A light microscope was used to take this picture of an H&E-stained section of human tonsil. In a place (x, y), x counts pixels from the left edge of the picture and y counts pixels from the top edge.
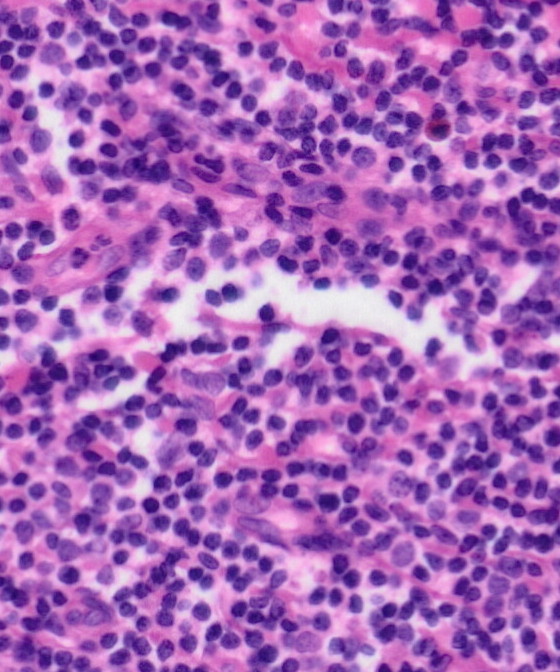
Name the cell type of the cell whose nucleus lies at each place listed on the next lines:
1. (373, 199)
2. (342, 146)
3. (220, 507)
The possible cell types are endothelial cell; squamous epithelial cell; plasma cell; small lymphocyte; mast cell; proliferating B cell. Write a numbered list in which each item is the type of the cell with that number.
1. endothelial cell
2. small lymphocyte
3. endothelial cell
